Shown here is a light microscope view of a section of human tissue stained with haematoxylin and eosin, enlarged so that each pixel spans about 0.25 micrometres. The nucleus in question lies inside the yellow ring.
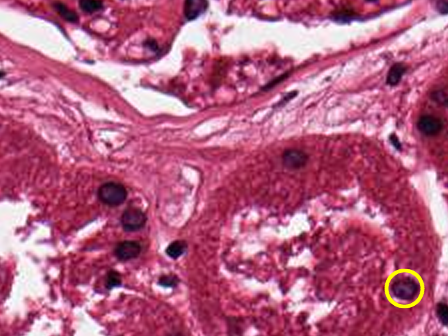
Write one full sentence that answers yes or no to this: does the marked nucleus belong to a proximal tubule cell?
Yes, the marked nucleus is housed in a proximal tubule cell.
